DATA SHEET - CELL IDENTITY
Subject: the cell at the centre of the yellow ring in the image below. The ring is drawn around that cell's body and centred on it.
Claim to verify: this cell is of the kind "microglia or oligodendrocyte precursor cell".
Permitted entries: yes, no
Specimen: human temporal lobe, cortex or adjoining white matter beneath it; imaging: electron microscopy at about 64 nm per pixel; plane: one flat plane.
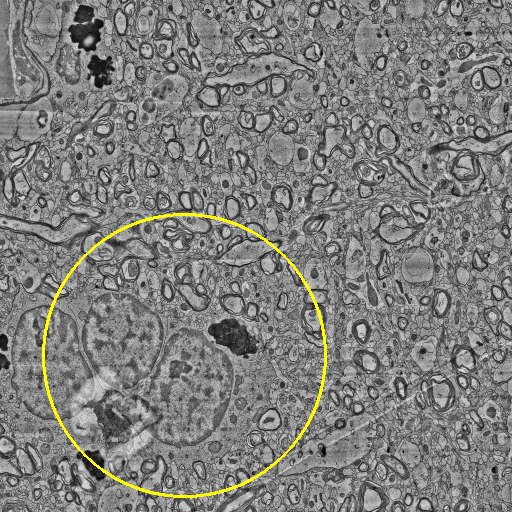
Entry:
no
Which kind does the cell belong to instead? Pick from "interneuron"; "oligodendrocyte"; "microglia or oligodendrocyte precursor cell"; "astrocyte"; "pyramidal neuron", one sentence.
Sitting at the ring centre is an oligodendrocyte.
